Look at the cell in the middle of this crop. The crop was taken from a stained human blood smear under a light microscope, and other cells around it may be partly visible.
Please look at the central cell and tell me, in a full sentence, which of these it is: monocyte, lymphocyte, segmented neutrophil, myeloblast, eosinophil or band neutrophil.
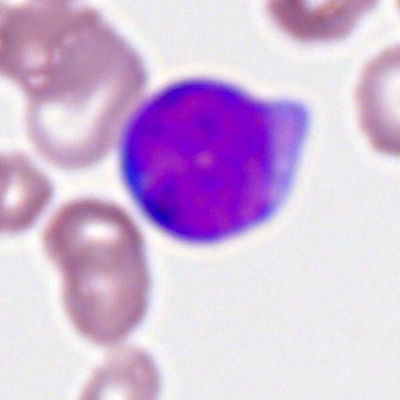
At the crop's centre, the cell is a myeloblast.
